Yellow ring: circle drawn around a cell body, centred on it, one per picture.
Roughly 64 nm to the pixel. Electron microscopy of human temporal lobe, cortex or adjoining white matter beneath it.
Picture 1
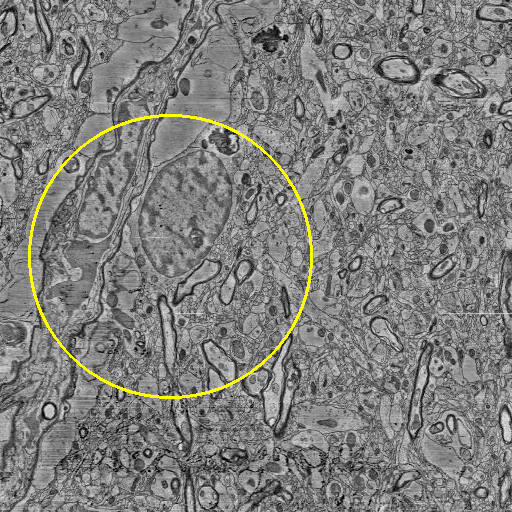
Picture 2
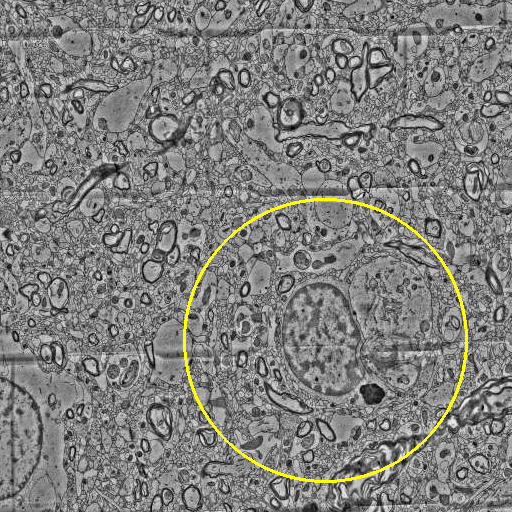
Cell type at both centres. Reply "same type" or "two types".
same type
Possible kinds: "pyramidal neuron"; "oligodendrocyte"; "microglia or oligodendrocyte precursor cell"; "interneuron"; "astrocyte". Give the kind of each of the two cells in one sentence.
Both rings mark an oligodendrocyte, one in each picture.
